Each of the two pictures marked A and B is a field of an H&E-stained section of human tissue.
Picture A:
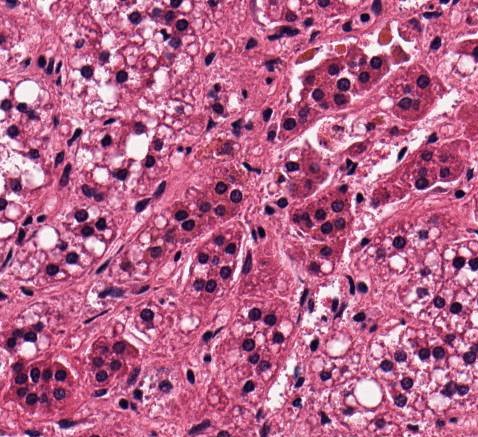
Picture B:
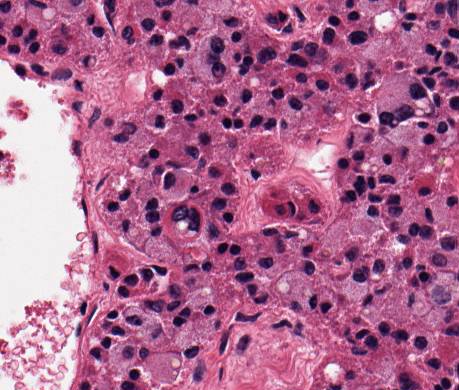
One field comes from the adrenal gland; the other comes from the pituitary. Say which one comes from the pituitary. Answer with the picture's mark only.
B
